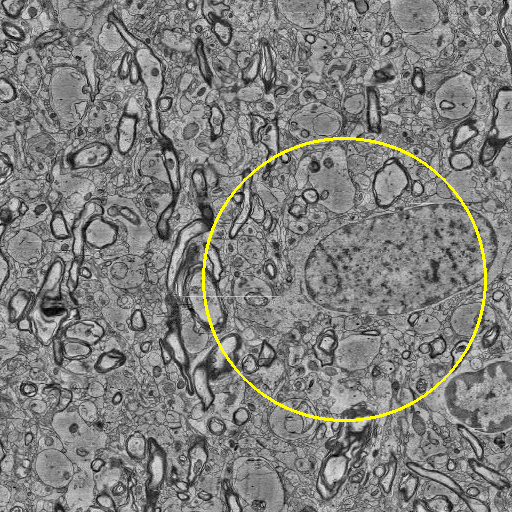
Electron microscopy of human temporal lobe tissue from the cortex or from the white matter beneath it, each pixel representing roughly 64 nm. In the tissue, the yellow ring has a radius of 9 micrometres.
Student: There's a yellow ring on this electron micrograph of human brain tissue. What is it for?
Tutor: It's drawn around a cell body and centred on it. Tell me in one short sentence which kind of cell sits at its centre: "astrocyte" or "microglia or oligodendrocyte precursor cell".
The cell at the centre of the ring is a microglial cell or oligodendrocyte precursor cell.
